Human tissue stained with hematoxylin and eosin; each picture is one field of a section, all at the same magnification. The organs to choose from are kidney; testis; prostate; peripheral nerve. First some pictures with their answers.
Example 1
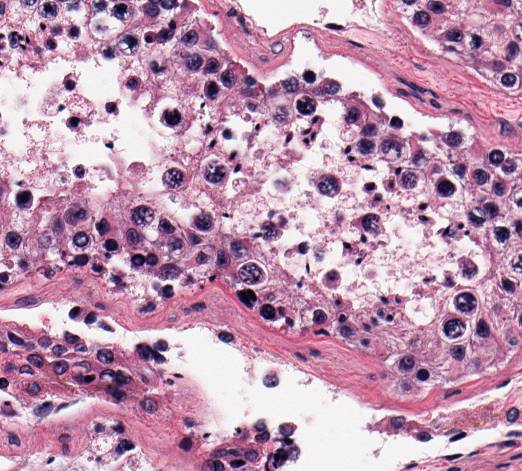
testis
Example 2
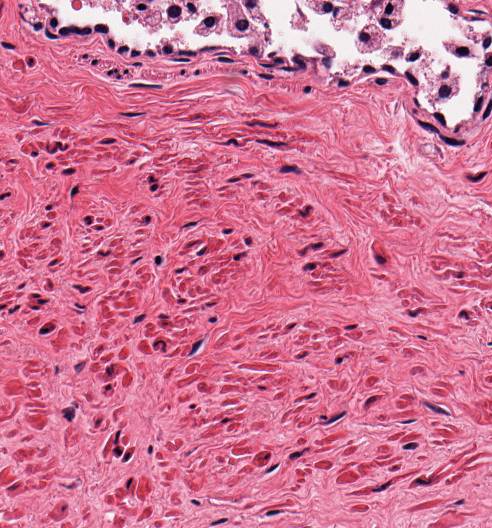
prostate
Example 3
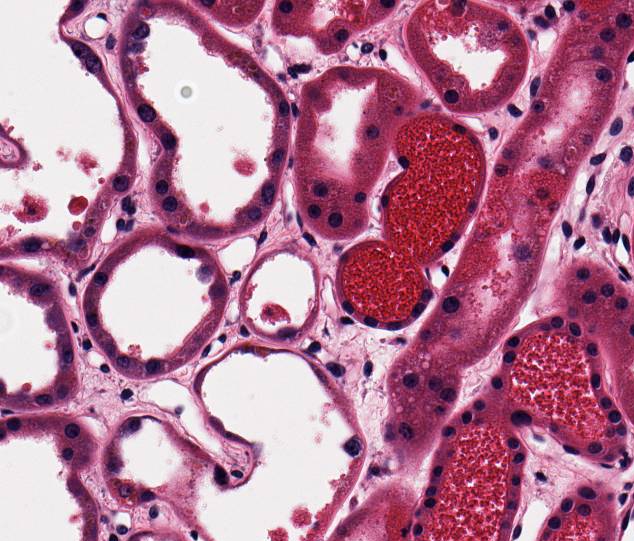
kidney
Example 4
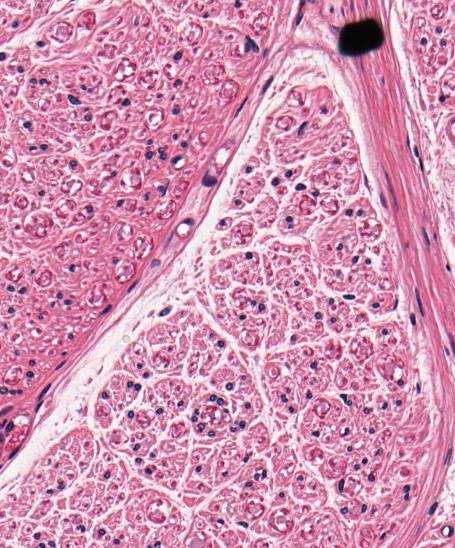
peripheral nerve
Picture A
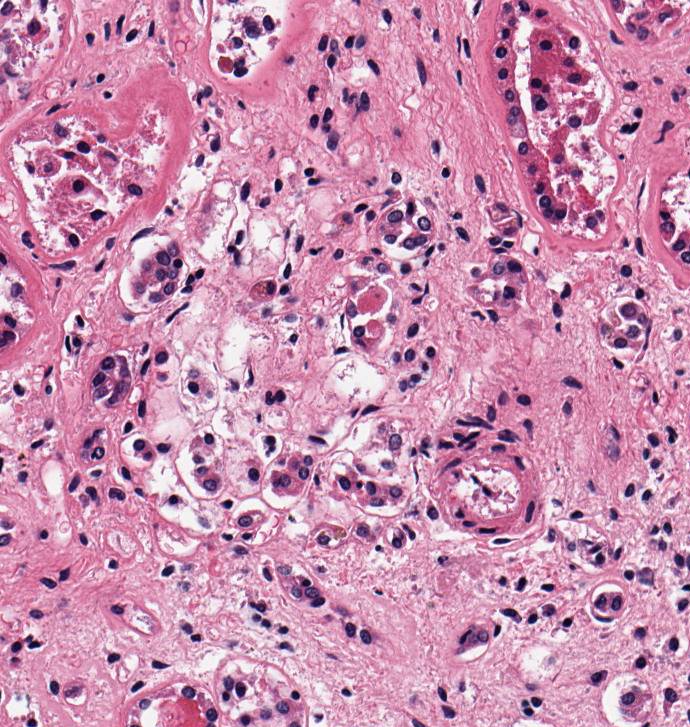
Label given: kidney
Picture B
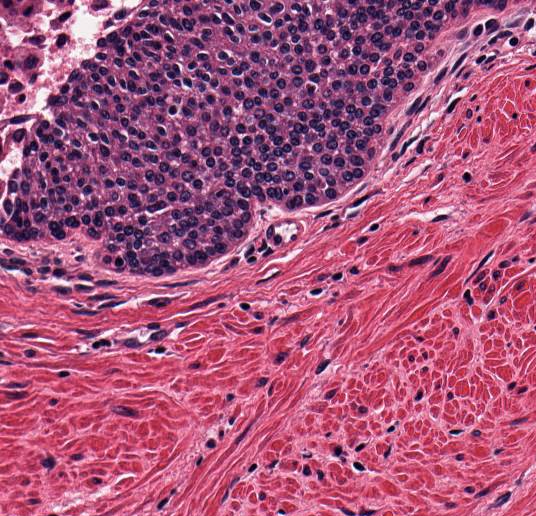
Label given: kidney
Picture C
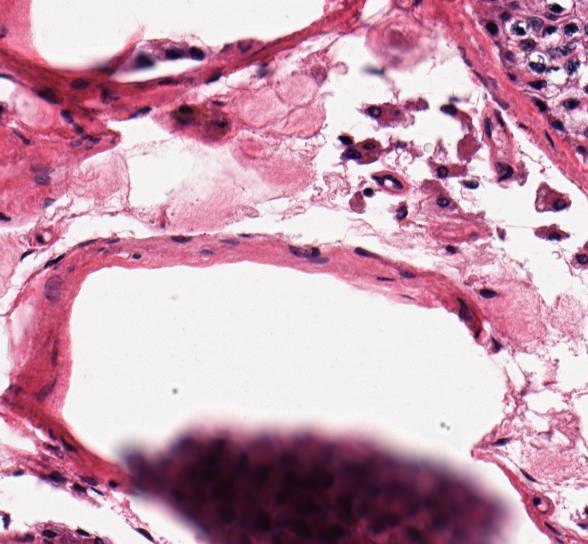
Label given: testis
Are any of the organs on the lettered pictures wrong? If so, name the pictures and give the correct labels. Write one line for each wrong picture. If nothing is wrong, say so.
B: prostate, not kidney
